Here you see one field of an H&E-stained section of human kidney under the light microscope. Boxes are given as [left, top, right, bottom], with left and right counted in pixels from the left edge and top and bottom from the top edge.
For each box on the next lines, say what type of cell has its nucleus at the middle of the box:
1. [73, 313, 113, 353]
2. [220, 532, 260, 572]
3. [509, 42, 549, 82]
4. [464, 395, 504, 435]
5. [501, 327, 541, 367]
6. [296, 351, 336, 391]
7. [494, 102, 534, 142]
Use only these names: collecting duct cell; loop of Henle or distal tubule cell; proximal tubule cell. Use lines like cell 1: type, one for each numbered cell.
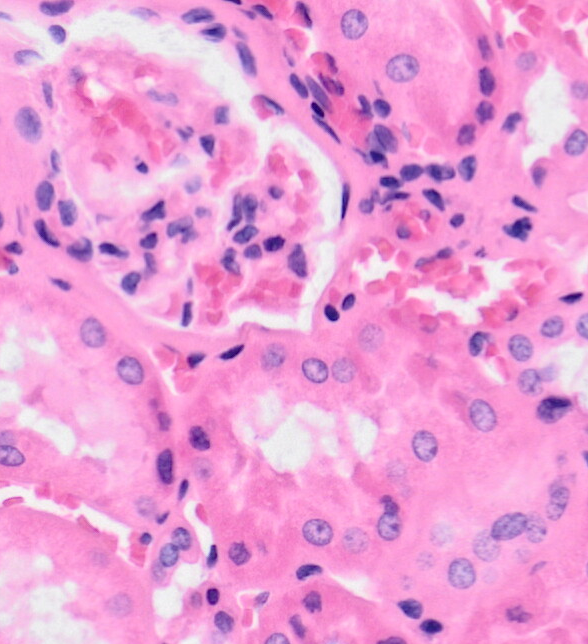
cell 1: proximal tubule cell
cell 2: proximal tubule cell
cell 3: loop of Henle or distal tubule cell
cell 4: proximal tubule cell
cell 5: collecting duct cell
cell 6: proximal tubule cell
cell 7: loop of Henle or distal tubule cell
